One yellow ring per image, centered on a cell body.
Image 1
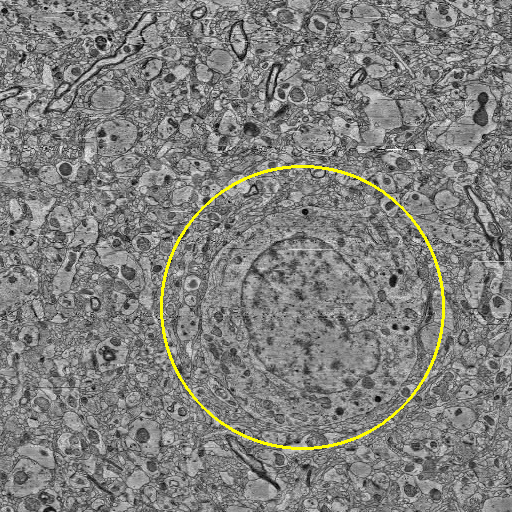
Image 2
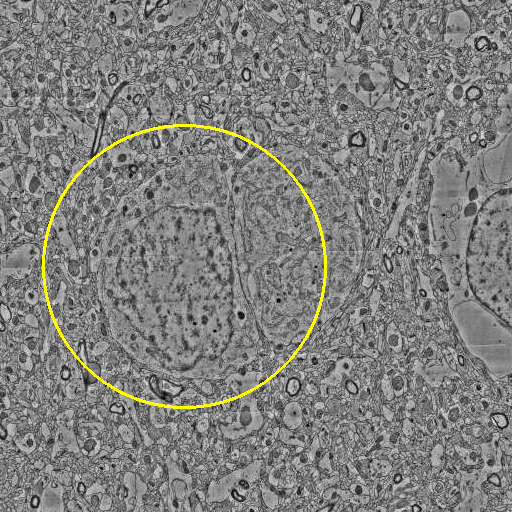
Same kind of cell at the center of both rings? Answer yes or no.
yes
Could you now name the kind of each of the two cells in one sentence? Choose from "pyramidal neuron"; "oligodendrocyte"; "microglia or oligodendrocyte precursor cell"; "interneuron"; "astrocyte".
Each cell at the centre of a ring is an interneuron.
